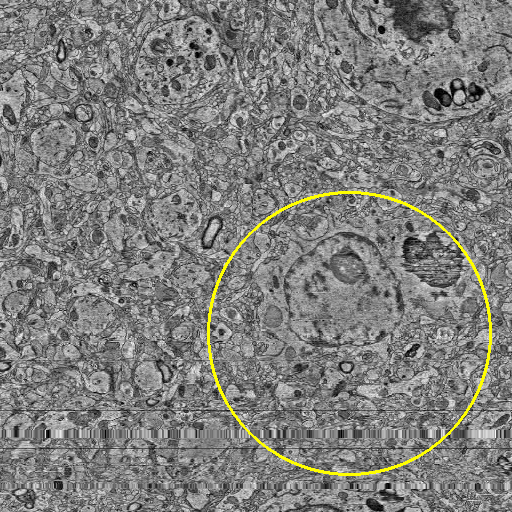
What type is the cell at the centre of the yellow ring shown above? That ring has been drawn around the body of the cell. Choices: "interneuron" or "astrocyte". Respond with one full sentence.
My answer is that an astrocyte lies at the centre of the yellow ring above.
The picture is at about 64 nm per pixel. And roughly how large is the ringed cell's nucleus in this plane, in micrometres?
The nucleus measures about 8 micrometers across in this plane.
